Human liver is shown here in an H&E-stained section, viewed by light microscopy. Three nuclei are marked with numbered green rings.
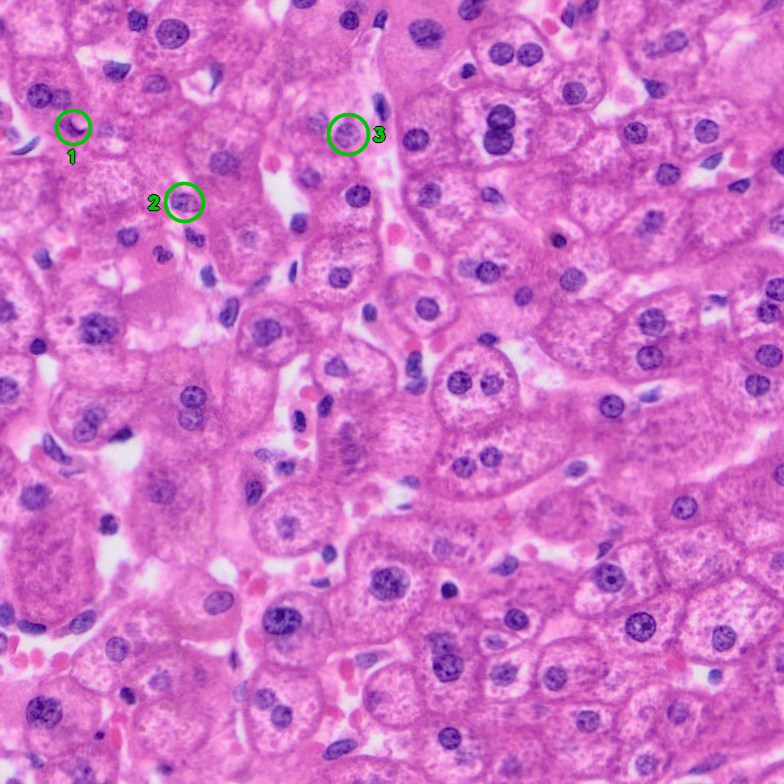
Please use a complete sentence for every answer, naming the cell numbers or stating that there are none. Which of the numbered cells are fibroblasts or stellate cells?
The numbered cell that is a fibroblast or stellate cell is cell 1, and it is the only one.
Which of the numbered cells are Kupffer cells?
Of the cells bearing numbers, the only one that is a Kupffer cell is cell 2.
